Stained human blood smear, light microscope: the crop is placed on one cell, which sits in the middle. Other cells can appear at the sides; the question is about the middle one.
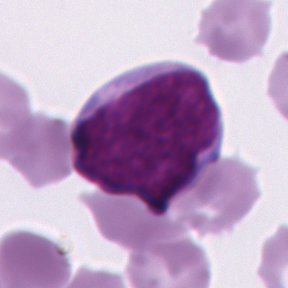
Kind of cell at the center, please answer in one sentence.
The middle position in this crop is taken by a myeloblast.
